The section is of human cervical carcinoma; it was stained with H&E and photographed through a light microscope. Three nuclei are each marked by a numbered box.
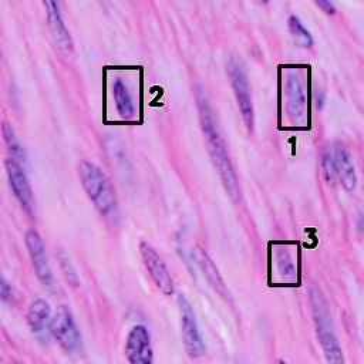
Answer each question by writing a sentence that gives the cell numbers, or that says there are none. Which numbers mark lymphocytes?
Of the cells bearing numbers, the only one that is a lymphocyte is cell 2.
